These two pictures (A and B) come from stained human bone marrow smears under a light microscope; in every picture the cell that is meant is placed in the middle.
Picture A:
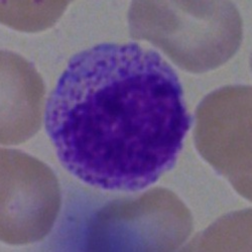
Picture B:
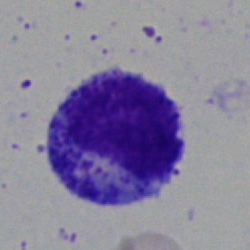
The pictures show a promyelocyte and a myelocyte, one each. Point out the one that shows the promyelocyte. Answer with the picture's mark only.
B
